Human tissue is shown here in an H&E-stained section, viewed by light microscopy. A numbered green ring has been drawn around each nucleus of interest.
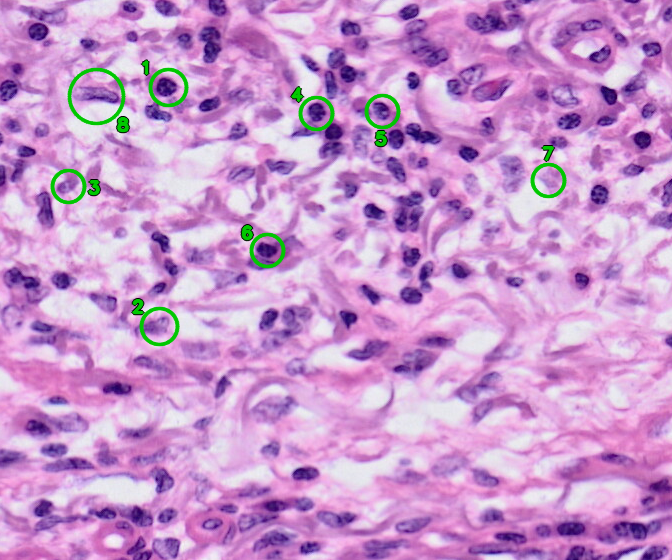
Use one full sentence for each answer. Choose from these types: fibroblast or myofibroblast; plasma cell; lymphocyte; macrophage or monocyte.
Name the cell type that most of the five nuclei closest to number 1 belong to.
Of the five nuclei nearest to number 1, most belong to lymphocytes.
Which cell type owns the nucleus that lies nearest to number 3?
The cell nearest to number 3 is a macrophage or monocyte.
